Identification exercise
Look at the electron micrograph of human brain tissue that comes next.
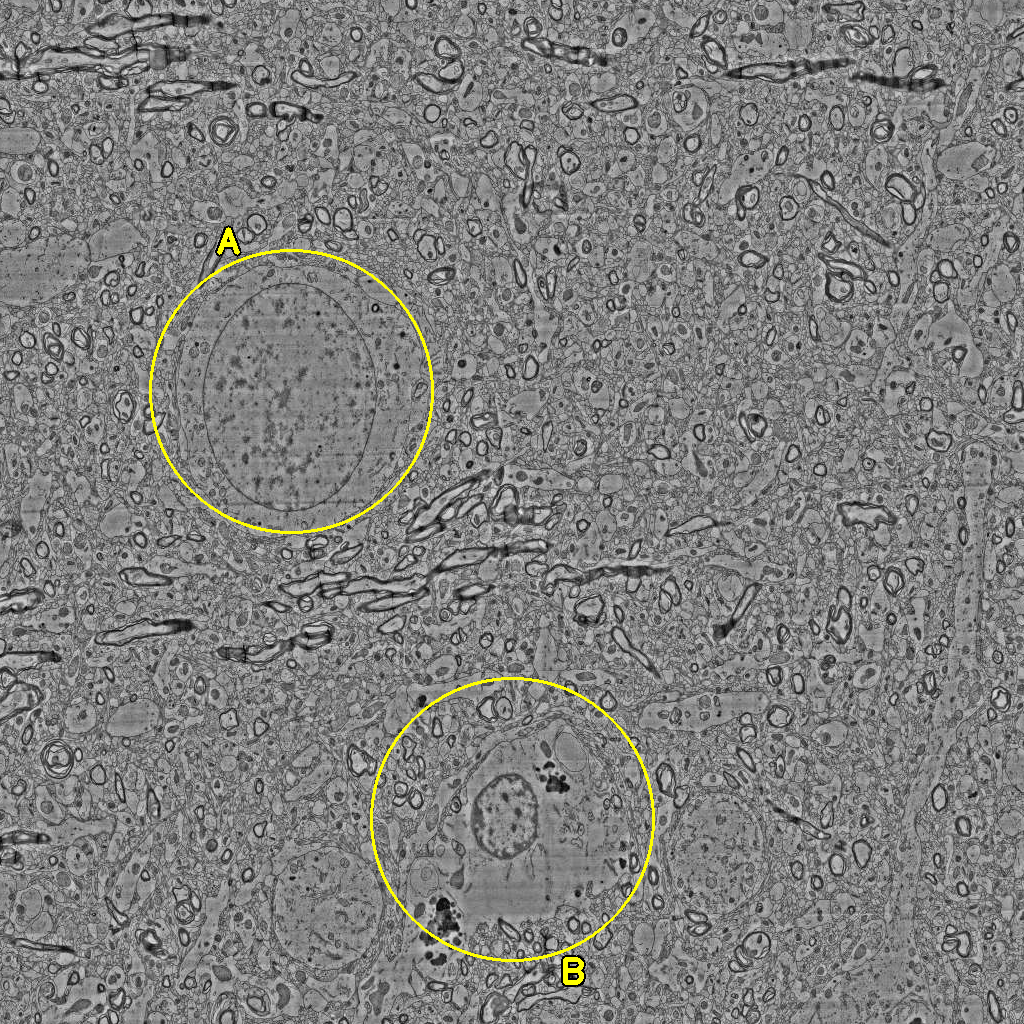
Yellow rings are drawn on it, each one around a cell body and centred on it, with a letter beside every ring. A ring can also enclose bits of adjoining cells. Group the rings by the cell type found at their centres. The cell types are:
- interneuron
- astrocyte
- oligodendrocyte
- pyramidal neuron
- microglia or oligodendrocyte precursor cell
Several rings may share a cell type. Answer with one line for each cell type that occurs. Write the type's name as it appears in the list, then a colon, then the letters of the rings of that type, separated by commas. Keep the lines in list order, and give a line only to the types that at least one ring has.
astrocyte: B
pyramidal neuron: A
